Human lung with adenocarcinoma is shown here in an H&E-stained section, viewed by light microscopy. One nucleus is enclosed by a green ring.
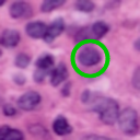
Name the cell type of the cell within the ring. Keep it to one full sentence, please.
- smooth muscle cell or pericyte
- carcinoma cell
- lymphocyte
Students should answer that the cell within the ring is a lymphocyte.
